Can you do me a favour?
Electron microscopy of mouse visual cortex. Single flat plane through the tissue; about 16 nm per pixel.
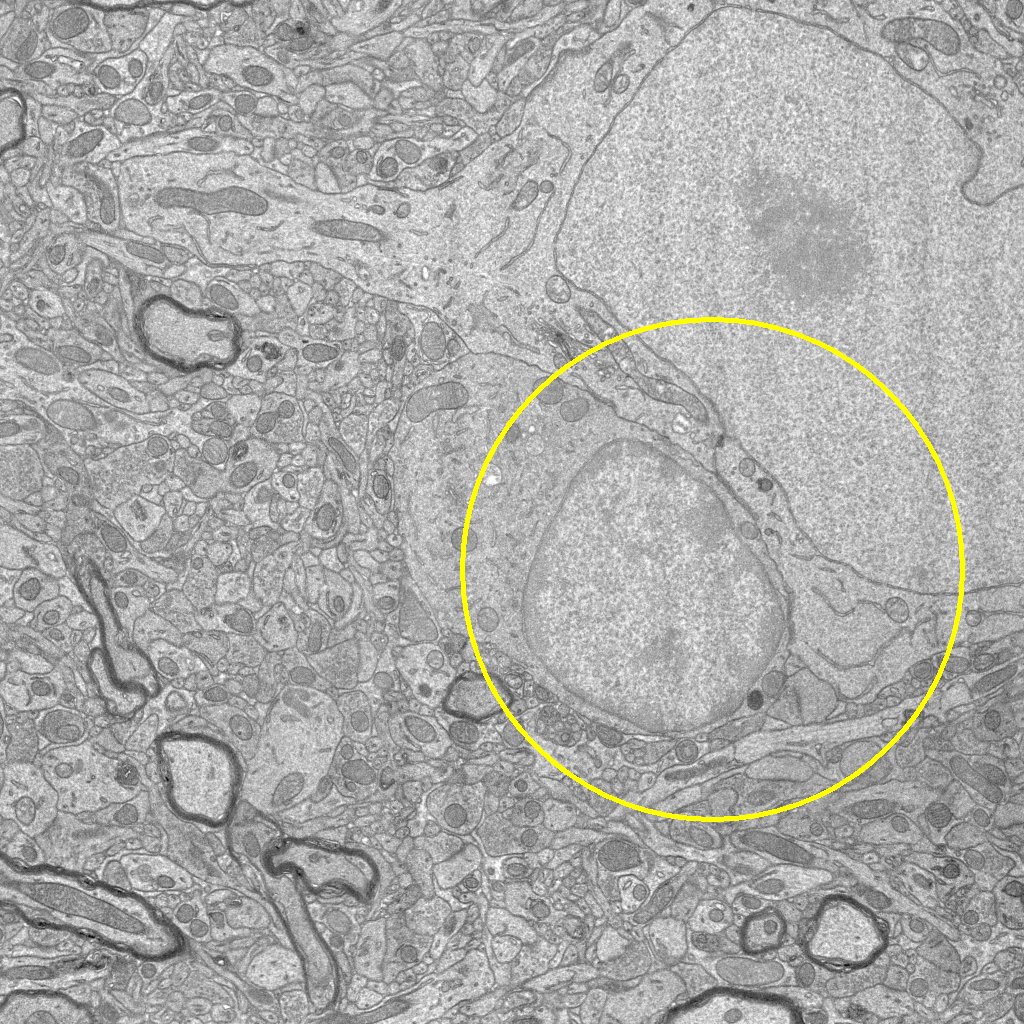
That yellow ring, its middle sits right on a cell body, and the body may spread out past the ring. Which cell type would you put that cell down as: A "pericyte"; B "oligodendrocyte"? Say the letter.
B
